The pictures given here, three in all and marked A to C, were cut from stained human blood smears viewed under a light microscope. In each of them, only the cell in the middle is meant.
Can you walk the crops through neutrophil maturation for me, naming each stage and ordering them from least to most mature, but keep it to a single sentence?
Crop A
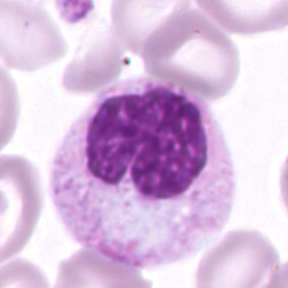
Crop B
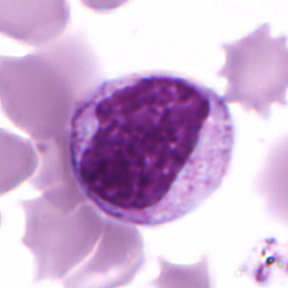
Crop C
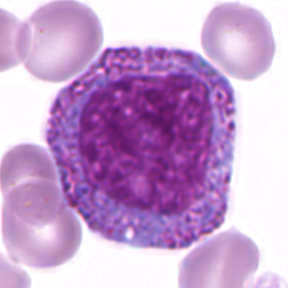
Ordered by maturity, from least to most, the crops are crop C (a promyelocyte), crop B (a metamyelocyte) and crop A (a band neutrophil).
